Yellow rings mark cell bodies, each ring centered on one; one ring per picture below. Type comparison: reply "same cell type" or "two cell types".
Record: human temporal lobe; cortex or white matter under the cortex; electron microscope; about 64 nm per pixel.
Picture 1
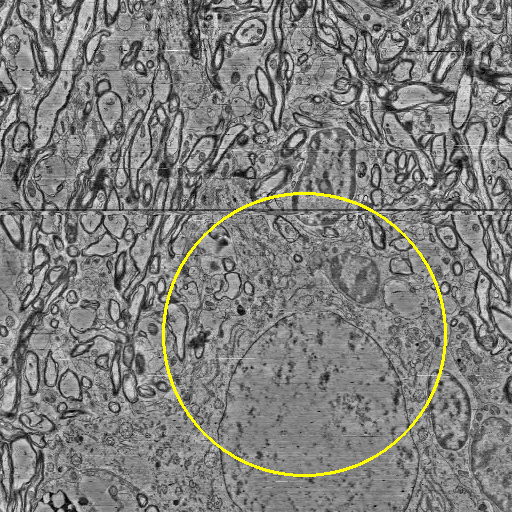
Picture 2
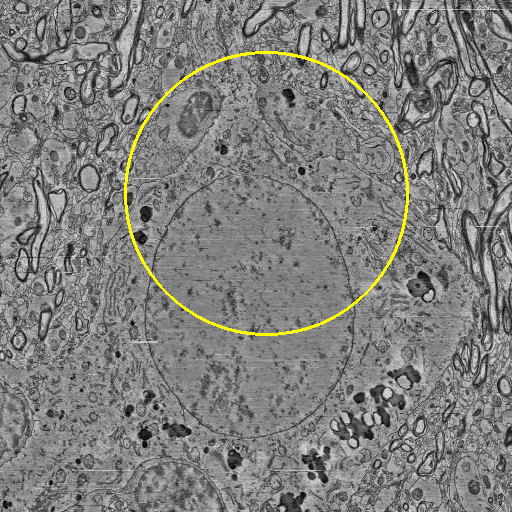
same cell type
